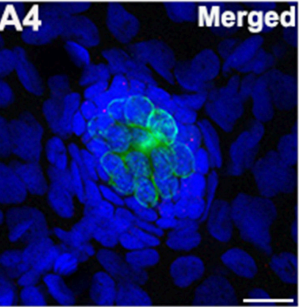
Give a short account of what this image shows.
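This is a neuromast, a small sensory organ in the skin, seen from above with its nuclei in blue. Elongated nuclei of surrounding cells are arranged in a rosette around a central cluster of rounded cells outlined in green. The green cells are pear-shaped and converge on a bright central point, like petals of a flower. Only a few tiny red dots are scattered over the field, and no cell is strongly red.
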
